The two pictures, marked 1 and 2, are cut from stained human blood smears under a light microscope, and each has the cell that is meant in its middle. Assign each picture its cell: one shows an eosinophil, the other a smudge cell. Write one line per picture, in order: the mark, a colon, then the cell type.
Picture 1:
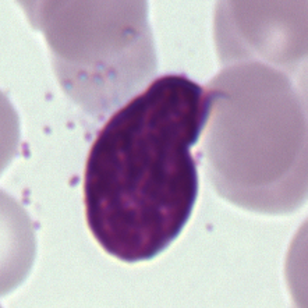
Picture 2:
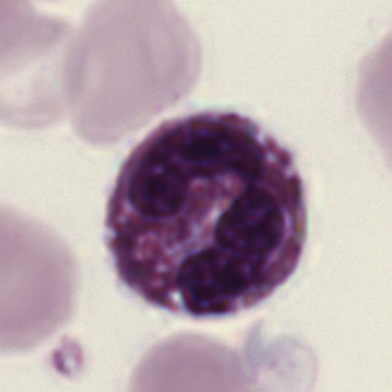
1: smudge cell
2: eosinophil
